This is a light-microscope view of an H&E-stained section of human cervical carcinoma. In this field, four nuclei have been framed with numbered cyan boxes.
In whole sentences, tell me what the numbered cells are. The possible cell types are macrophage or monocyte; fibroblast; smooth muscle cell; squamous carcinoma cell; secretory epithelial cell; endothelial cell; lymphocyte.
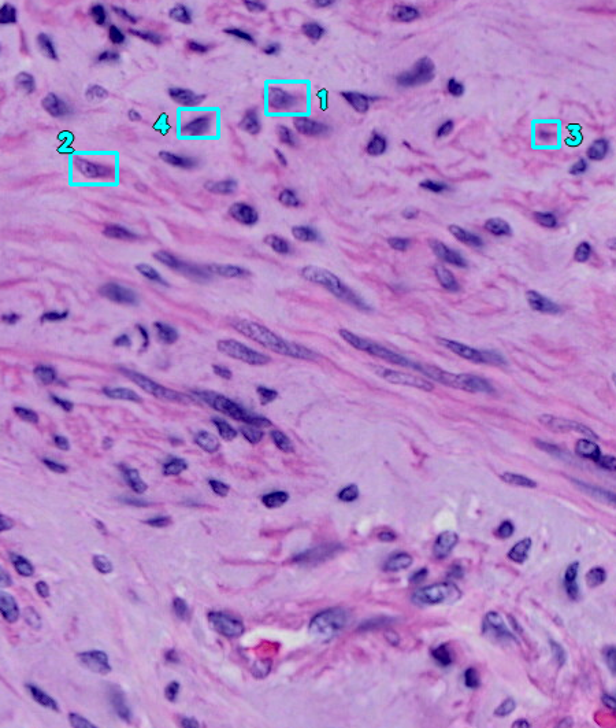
Cells 1, 2 and 3 are smooth muscle cells. Cell 4 is a fibroblast.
